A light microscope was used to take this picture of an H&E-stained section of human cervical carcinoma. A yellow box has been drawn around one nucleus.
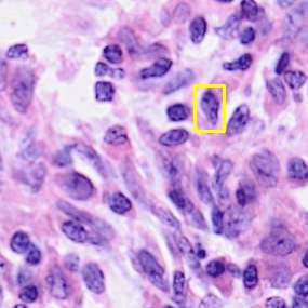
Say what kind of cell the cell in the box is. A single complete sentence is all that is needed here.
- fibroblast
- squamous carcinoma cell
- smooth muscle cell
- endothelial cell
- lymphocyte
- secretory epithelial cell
In the stained section, the cell in the box is a lymphocyte.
